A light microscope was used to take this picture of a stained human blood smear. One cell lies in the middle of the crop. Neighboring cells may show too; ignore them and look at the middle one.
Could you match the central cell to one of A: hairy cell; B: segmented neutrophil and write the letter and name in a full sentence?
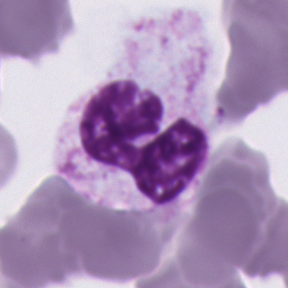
In the centre of the crop there is a segmented neutrophil, making option B correct.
